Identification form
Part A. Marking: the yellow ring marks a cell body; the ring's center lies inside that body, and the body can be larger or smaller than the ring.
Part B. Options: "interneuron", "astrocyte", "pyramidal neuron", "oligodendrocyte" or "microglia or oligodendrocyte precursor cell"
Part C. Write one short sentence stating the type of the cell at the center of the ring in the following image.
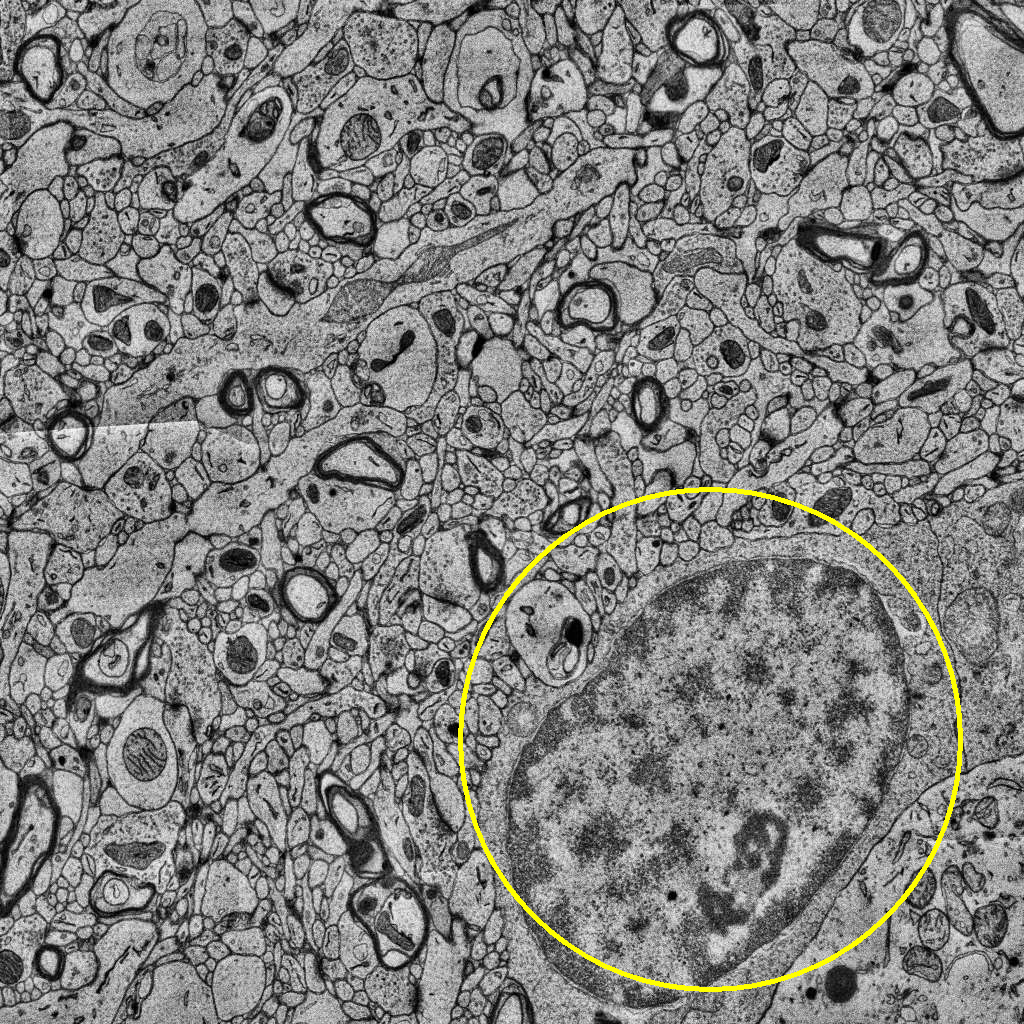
The center of the ring holds an oligodendrocyte.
